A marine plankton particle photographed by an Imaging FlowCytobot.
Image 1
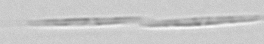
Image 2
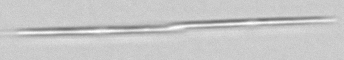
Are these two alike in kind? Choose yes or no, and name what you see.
Yes. Pseudo-nitzschia.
